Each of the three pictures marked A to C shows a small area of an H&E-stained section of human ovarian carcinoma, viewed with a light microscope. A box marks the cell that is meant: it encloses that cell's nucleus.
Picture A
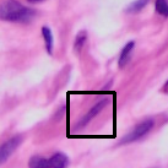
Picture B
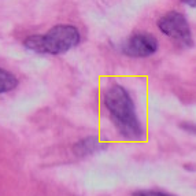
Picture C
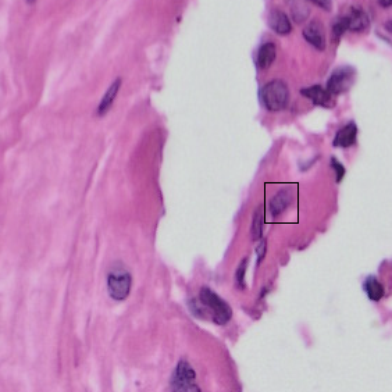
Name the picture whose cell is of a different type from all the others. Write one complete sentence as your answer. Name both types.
The others show fibroblasts, but picture C shows an endothelial cell.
